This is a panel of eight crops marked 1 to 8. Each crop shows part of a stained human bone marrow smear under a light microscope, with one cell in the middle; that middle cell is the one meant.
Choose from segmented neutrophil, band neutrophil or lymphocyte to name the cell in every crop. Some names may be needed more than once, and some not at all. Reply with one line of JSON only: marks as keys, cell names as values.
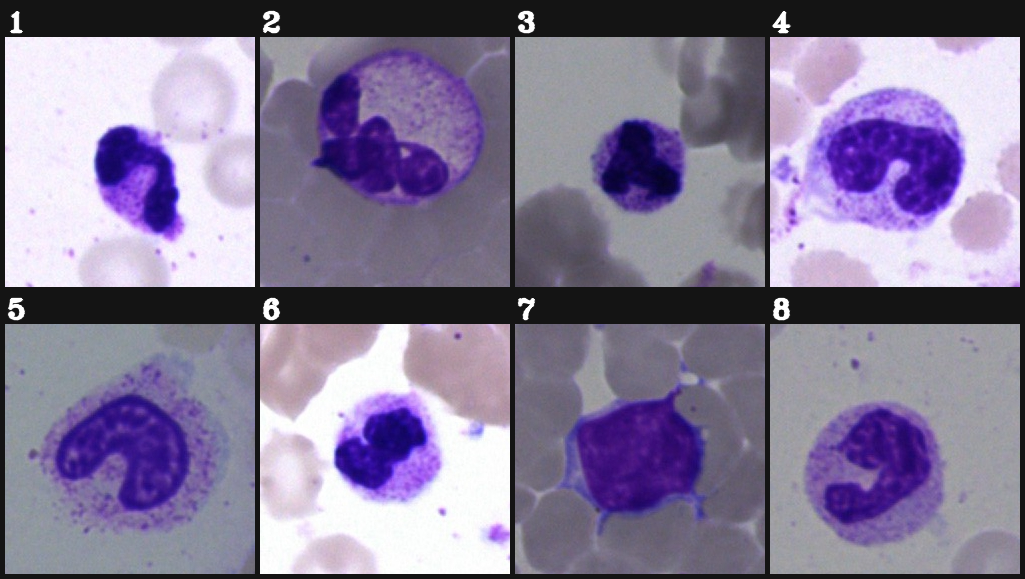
{"1": "segmented neutrophil", "2": "segmented neutrophil", "3": "segmented neutrophil", "4": "band neutrophil", "5": "band neutrophil", "6": "segmented neutrophil", "7": "lymphocyte", "8": "segmented neutrophil"}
